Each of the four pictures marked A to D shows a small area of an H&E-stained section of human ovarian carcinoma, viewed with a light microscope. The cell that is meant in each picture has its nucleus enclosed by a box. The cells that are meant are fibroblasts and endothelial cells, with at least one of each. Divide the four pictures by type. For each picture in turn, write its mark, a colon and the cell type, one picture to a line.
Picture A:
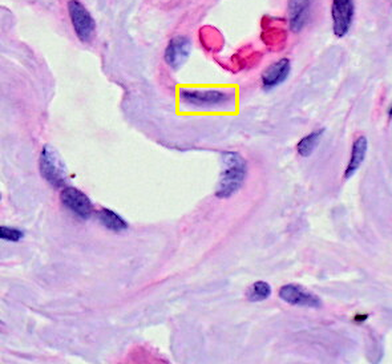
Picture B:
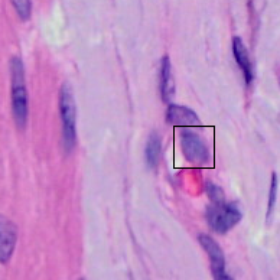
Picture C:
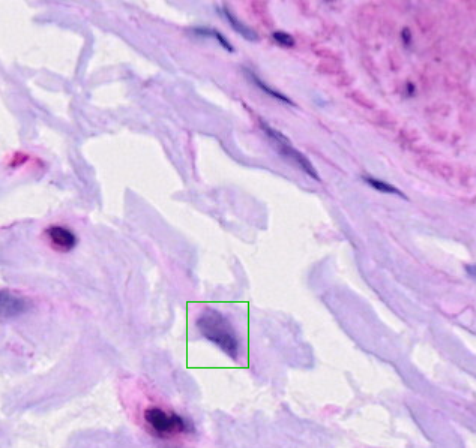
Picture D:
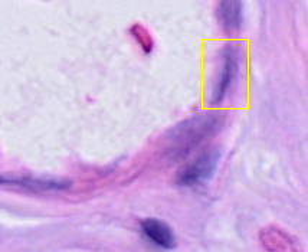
A: endothelial cell
B: endothelial cell
C: fibroblast
D: endothelial cell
